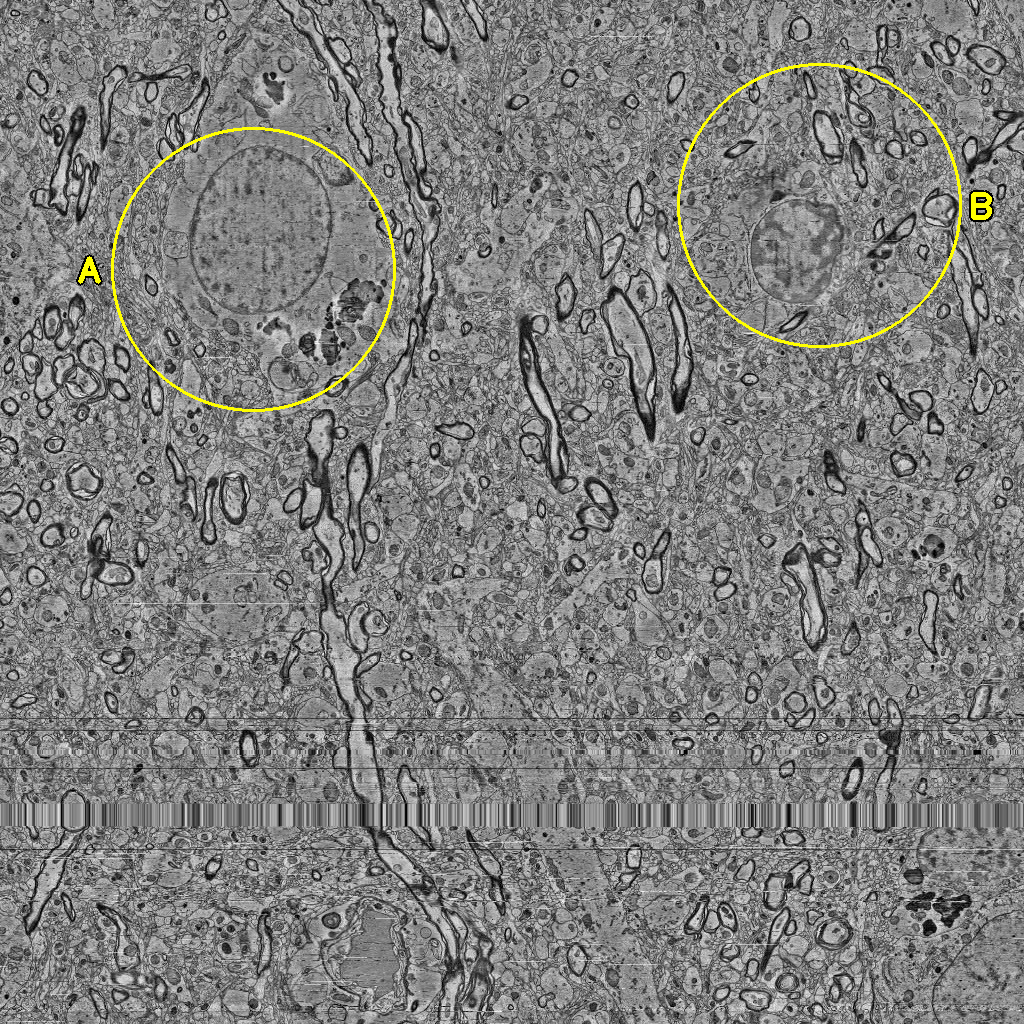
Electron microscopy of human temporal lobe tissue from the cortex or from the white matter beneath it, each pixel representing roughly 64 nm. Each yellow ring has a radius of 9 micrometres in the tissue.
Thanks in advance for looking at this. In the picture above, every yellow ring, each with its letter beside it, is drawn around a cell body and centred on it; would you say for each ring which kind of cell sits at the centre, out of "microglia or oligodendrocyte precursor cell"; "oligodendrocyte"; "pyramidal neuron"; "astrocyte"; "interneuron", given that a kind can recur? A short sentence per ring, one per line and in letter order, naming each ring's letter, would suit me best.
The cell body in ring A belongs to an astrocyte.
The cell body in ring B belongs to a microglial cell or oligodendrocyte precursor cell.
